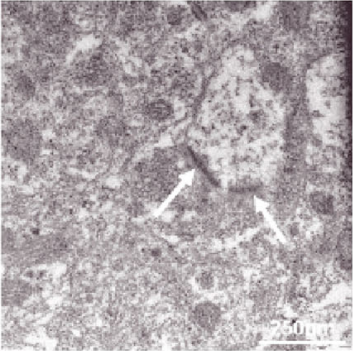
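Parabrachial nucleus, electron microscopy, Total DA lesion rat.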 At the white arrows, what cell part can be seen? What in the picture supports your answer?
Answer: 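The arrows point to short dark electron-dense thickenings at membranes. The thickenings border a pale, electron-lucent profile. So: post-synaptic densities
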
